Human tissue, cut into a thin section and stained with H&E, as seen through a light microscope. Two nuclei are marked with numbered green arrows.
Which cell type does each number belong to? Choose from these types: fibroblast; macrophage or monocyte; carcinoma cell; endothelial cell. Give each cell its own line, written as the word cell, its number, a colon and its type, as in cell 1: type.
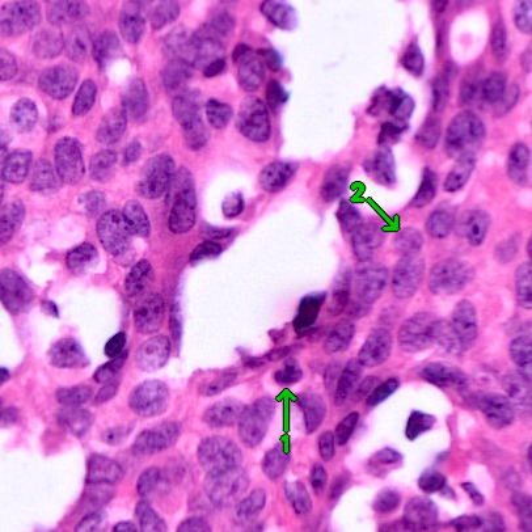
cell 1: macrophage or monocyte
cell 2: carcinoma cell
